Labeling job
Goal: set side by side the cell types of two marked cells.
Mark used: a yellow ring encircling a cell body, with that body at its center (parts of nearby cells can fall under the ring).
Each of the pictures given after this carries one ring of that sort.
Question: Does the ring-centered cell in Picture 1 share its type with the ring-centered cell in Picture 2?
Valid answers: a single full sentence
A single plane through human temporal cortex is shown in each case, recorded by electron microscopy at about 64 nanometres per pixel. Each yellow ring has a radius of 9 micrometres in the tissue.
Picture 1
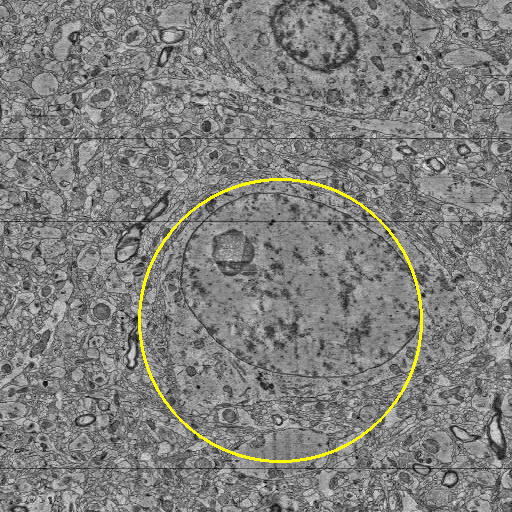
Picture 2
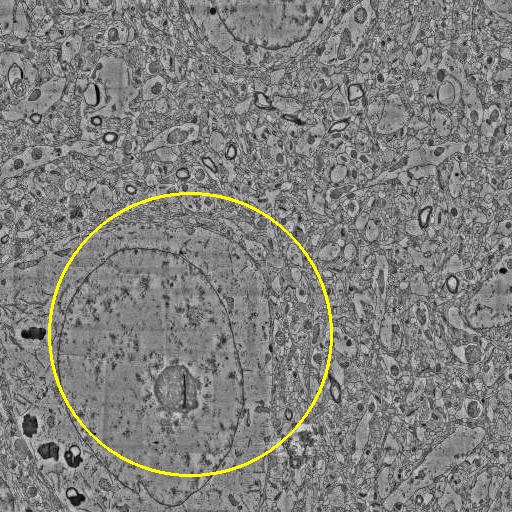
Yes, in Pictures 1 and 2 the cells at the ring centers share one type.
